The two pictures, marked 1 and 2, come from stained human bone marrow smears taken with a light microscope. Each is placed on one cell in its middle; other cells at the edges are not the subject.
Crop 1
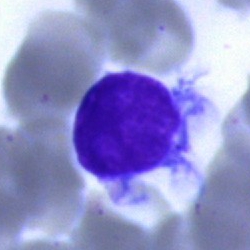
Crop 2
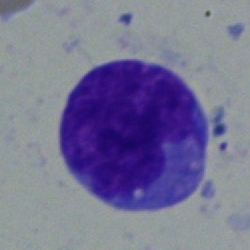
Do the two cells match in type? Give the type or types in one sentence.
No, a hairy cell lies at the centre of crop 1, and a blast lies at the centre of crop 2.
